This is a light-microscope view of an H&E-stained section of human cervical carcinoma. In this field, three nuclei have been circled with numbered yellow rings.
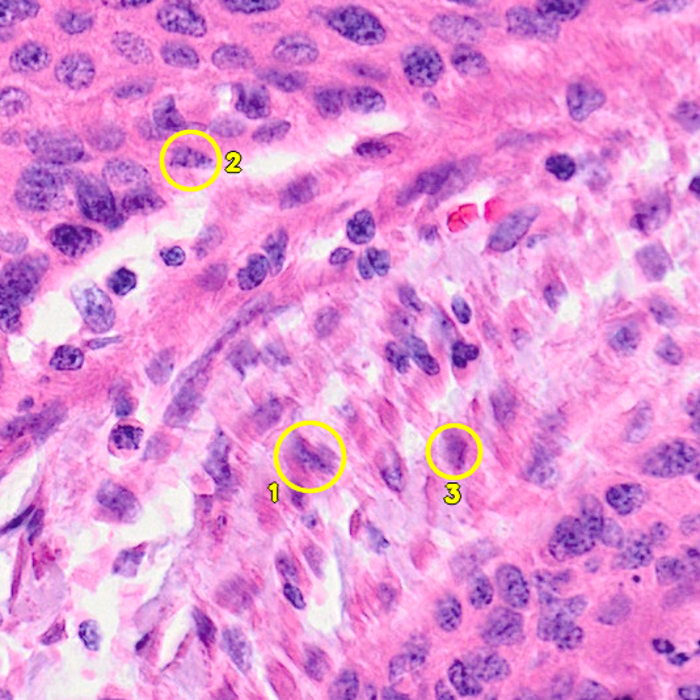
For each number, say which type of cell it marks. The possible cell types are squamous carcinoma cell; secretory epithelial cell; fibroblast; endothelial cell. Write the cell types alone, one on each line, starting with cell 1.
fibroblast
squamous carcinoma cell
fibroblast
